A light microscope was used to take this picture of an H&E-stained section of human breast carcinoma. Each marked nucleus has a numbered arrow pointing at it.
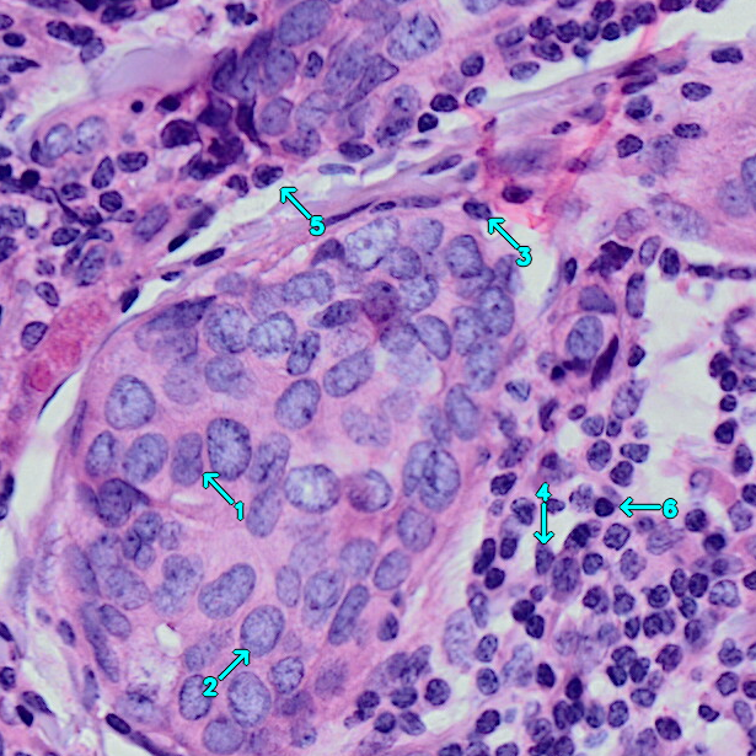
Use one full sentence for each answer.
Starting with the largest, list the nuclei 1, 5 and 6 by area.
By area, largest first, they run 1, 5, 6.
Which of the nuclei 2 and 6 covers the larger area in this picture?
It is nucleus 2, which covers about 4 times the area of nucleus 6.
